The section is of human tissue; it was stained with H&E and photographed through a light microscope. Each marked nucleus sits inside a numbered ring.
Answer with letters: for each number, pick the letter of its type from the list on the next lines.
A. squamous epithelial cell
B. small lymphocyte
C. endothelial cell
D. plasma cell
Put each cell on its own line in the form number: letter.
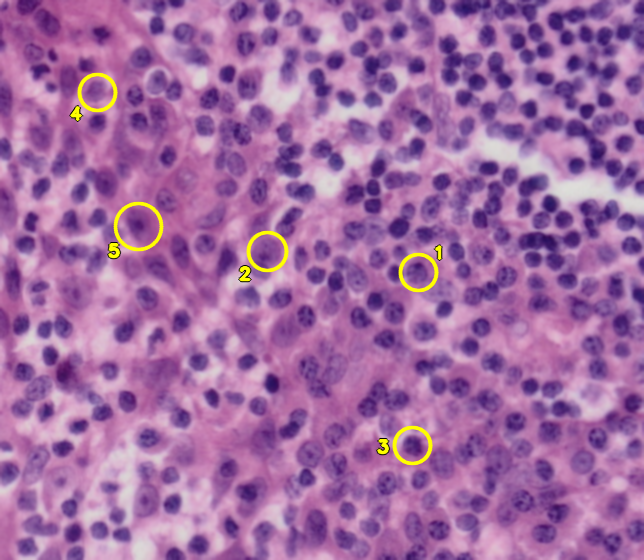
1: D
2: A
3: D
4: A
5: A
